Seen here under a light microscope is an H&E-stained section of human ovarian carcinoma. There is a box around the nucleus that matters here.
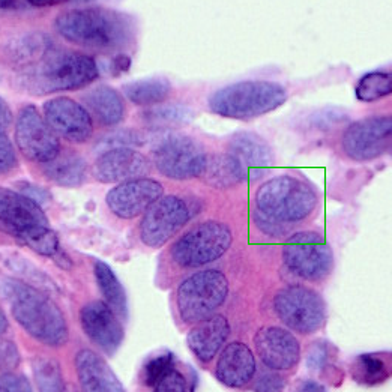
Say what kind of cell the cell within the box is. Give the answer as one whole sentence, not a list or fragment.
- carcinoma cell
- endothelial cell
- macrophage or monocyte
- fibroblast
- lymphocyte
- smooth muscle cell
In the context of this tissue, the cell within the box is a carcinoma cell.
